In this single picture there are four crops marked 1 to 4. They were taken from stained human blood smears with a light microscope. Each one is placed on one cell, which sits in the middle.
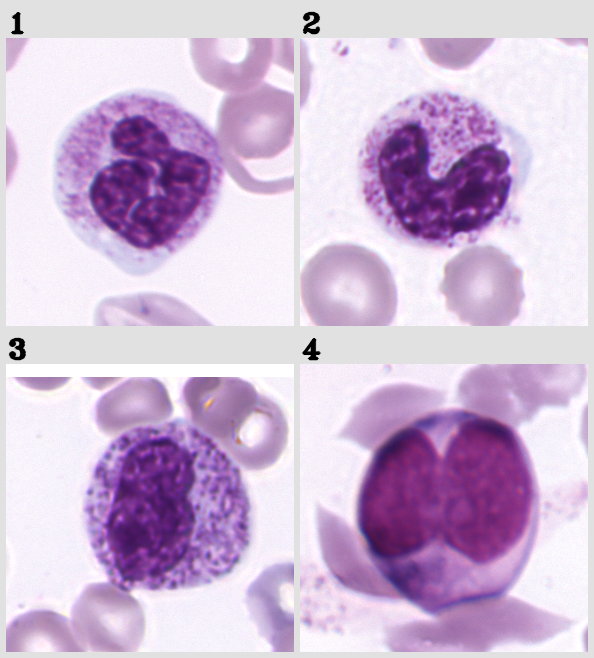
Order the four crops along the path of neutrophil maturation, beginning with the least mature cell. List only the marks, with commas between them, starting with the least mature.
4, 3, 2, 1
